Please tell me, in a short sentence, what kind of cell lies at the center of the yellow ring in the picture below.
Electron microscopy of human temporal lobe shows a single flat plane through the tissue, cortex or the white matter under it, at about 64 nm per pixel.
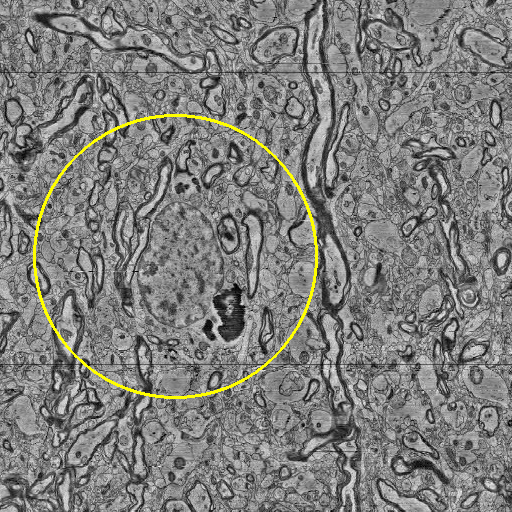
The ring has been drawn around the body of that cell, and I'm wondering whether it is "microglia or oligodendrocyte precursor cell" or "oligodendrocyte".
The cell at the center of the ring is an oligodendrocyte.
